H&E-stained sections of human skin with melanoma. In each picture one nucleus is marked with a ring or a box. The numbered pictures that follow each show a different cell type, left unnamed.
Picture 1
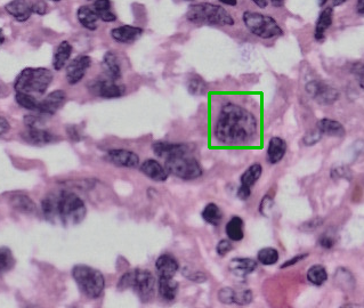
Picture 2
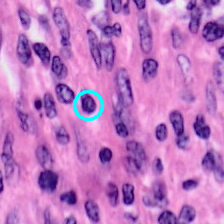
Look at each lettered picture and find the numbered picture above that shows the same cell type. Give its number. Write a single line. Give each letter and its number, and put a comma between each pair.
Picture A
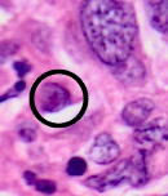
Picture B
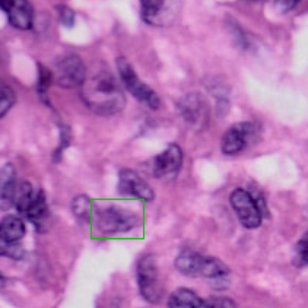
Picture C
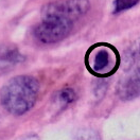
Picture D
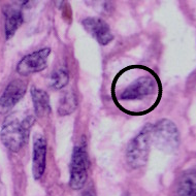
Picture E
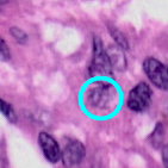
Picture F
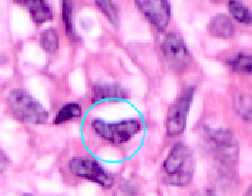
A 1, B 1, C 2, D 1, E 1, F 1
